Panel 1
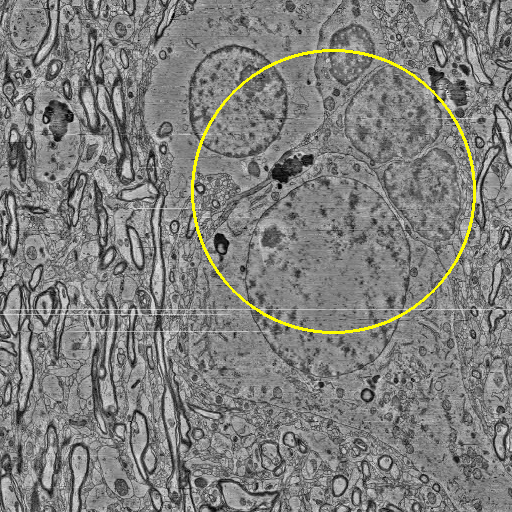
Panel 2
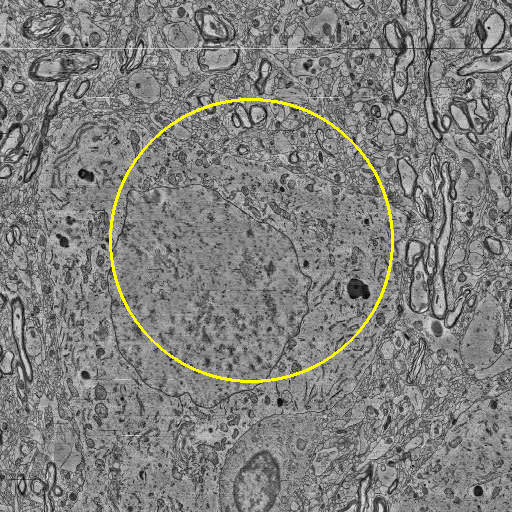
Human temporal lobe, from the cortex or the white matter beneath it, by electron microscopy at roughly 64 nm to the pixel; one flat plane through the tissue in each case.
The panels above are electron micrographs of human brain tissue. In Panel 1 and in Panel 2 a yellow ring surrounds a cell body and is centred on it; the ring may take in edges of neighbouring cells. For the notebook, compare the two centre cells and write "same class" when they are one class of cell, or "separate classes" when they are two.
same class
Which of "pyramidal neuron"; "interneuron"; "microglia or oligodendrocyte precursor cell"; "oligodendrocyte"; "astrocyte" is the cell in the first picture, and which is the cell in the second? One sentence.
Both cells are the same kind, each one being a pyramidal neuron.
